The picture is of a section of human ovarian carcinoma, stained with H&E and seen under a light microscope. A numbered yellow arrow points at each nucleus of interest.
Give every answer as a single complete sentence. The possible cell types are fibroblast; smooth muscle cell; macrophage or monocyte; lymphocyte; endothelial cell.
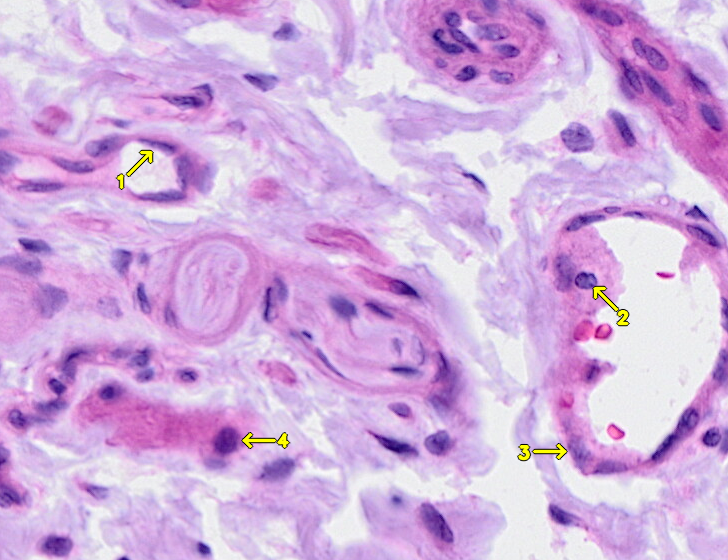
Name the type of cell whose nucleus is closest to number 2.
The cell nearest to number 2 is an endothelial cell.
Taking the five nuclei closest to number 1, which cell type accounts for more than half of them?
Of the five nuclei nearest to number 1, most belong to endothelial cells.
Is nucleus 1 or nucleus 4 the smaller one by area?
It is nucleus 1; nucleus 4 has about 2 times its area.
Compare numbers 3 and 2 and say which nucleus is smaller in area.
With nucleus 3 about 1.5 times its size, nucleus 2 is the smaller of the two.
